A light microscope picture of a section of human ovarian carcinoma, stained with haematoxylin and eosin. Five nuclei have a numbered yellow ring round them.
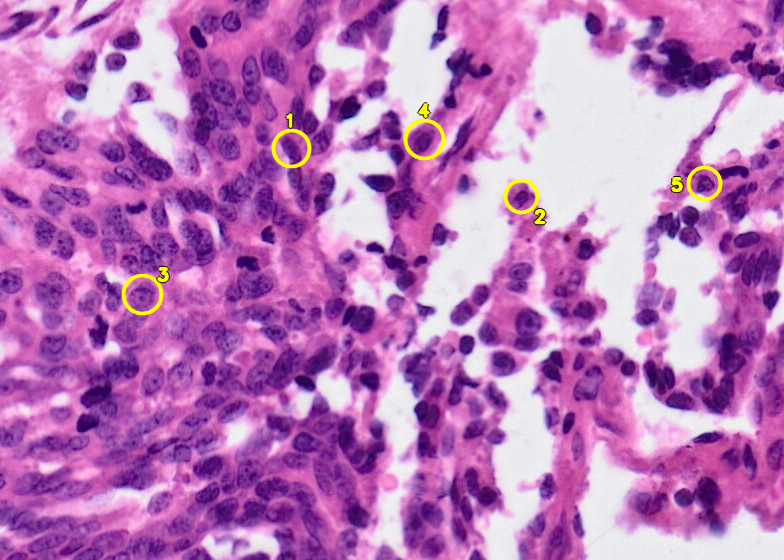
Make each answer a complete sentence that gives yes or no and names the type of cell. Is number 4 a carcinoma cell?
Yes, number 4 marks a cell that is a carcinoma cell.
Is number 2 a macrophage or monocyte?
Yes, the cell marked by the number 2 is a macrophage or monocyte.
